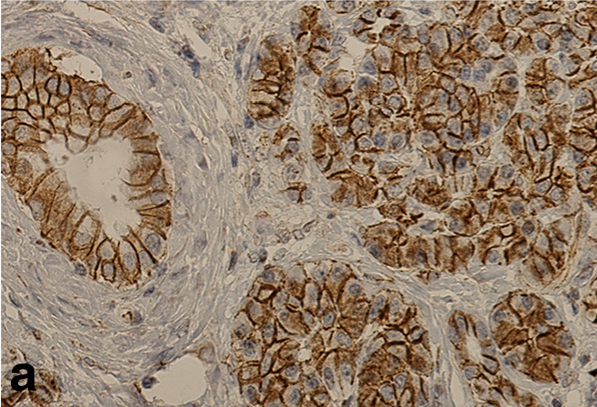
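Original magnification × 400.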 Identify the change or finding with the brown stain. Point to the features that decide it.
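Distinct membranous staining. Brown lines outline the borders of neighbouring epithelial cells. Cell outlines form a honeycomb pattern in the glandular clusters. Nuclei are largely spared by the brown stain.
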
